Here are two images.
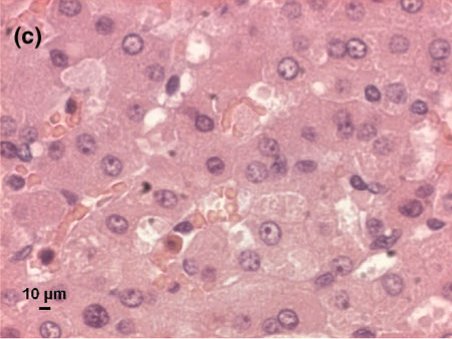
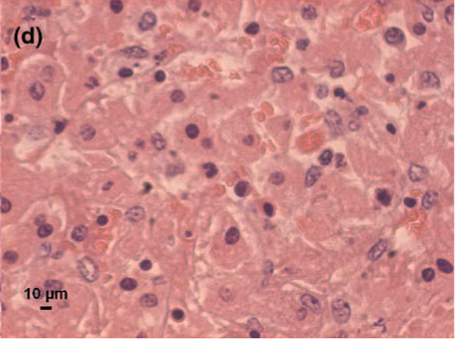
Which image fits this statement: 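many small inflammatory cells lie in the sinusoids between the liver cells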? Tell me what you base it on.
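Second image: numerous small cells with dark compact nuclei are scattered between the liver cell cords. First image: the field is mostly large cells with pale round nuclei, with few small dark-nucleated cells in the spaces. On this evidence: the second image.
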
